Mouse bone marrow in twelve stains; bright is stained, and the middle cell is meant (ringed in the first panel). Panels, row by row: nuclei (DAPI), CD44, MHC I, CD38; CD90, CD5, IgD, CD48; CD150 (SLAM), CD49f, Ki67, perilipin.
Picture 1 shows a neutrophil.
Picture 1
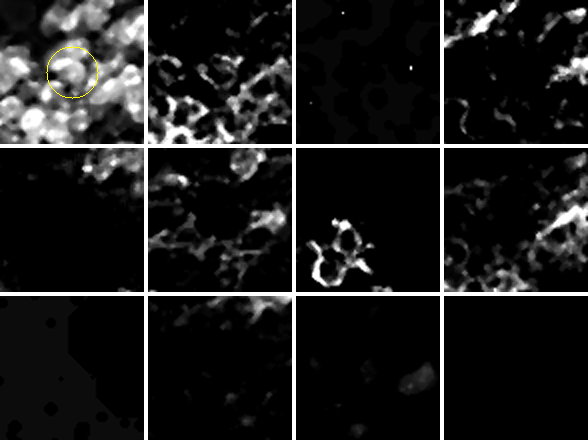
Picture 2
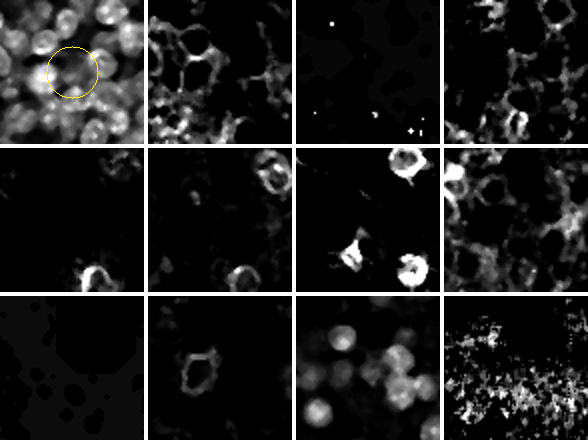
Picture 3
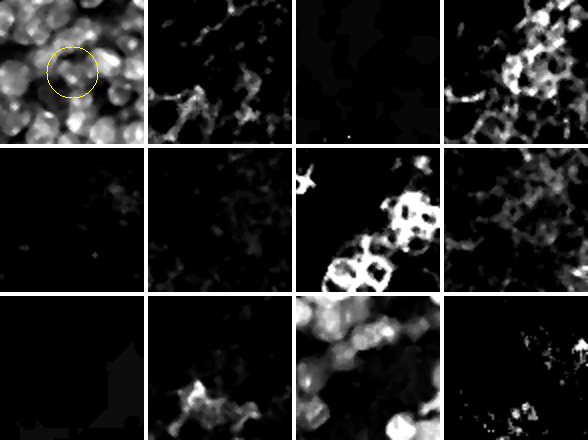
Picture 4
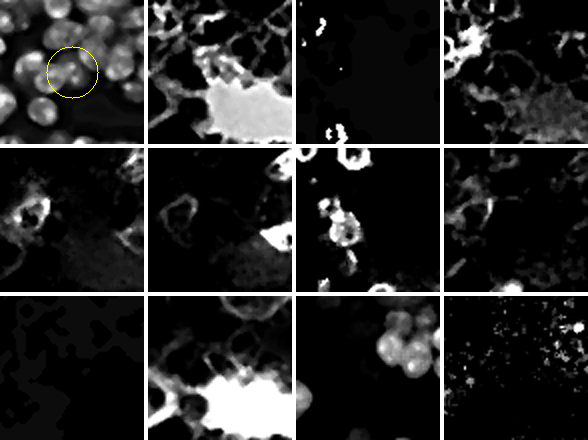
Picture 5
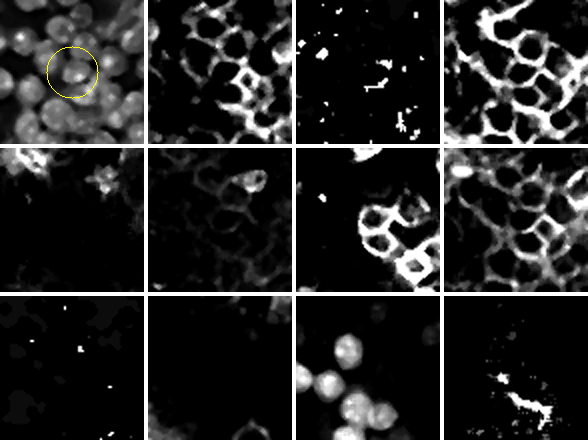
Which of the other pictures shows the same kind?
Picture 4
